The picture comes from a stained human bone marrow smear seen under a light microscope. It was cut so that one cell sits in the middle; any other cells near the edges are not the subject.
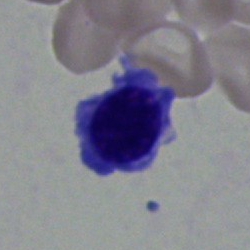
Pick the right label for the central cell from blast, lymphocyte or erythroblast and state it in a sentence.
The cell of interest, in the center, is an erythroblast.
